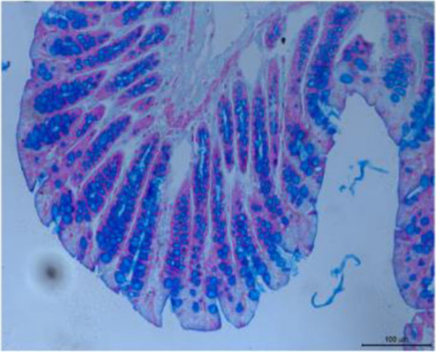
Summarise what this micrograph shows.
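This section of colonic mucosa shows long, closely packed crypts running in parallel toward the surface, each lined by a single layer of epithelium. Numerous goblet cells, their rounded mucus-filled cytoplasm stained blue, are stacked along the length of each crypt. The crypts are separated by narrow strips of lamina propria.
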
